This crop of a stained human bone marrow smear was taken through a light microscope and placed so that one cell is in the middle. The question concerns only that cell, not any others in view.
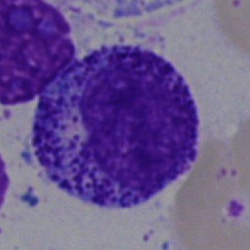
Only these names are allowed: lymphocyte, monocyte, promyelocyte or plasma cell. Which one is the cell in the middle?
promyelocyte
